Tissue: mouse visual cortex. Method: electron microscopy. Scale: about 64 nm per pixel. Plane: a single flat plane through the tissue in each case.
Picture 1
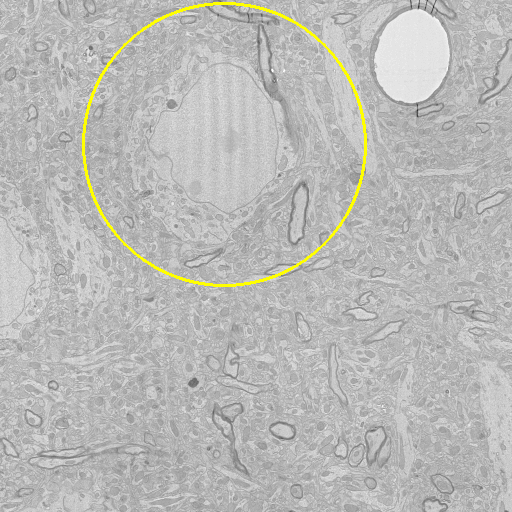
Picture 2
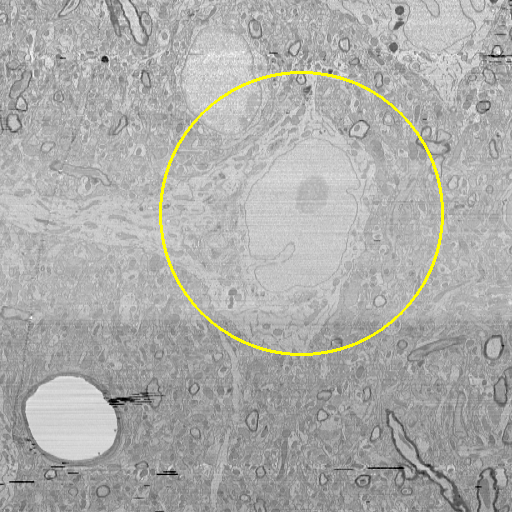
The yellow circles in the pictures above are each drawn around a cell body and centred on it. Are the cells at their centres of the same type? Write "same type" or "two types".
same type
